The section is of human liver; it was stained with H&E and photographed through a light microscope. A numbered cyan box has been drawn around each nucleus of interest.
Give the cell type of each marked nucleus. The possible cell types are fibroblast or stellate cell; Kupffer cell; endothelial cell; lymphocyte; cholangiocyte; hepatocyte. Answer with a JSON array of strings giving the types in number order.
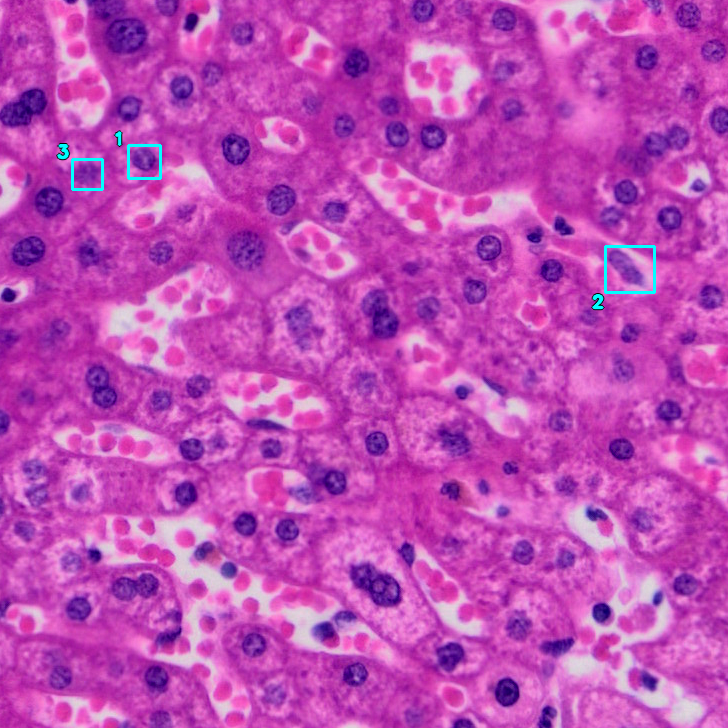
["hepatocyte", "Kupffer cell", "hepatocyte"]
